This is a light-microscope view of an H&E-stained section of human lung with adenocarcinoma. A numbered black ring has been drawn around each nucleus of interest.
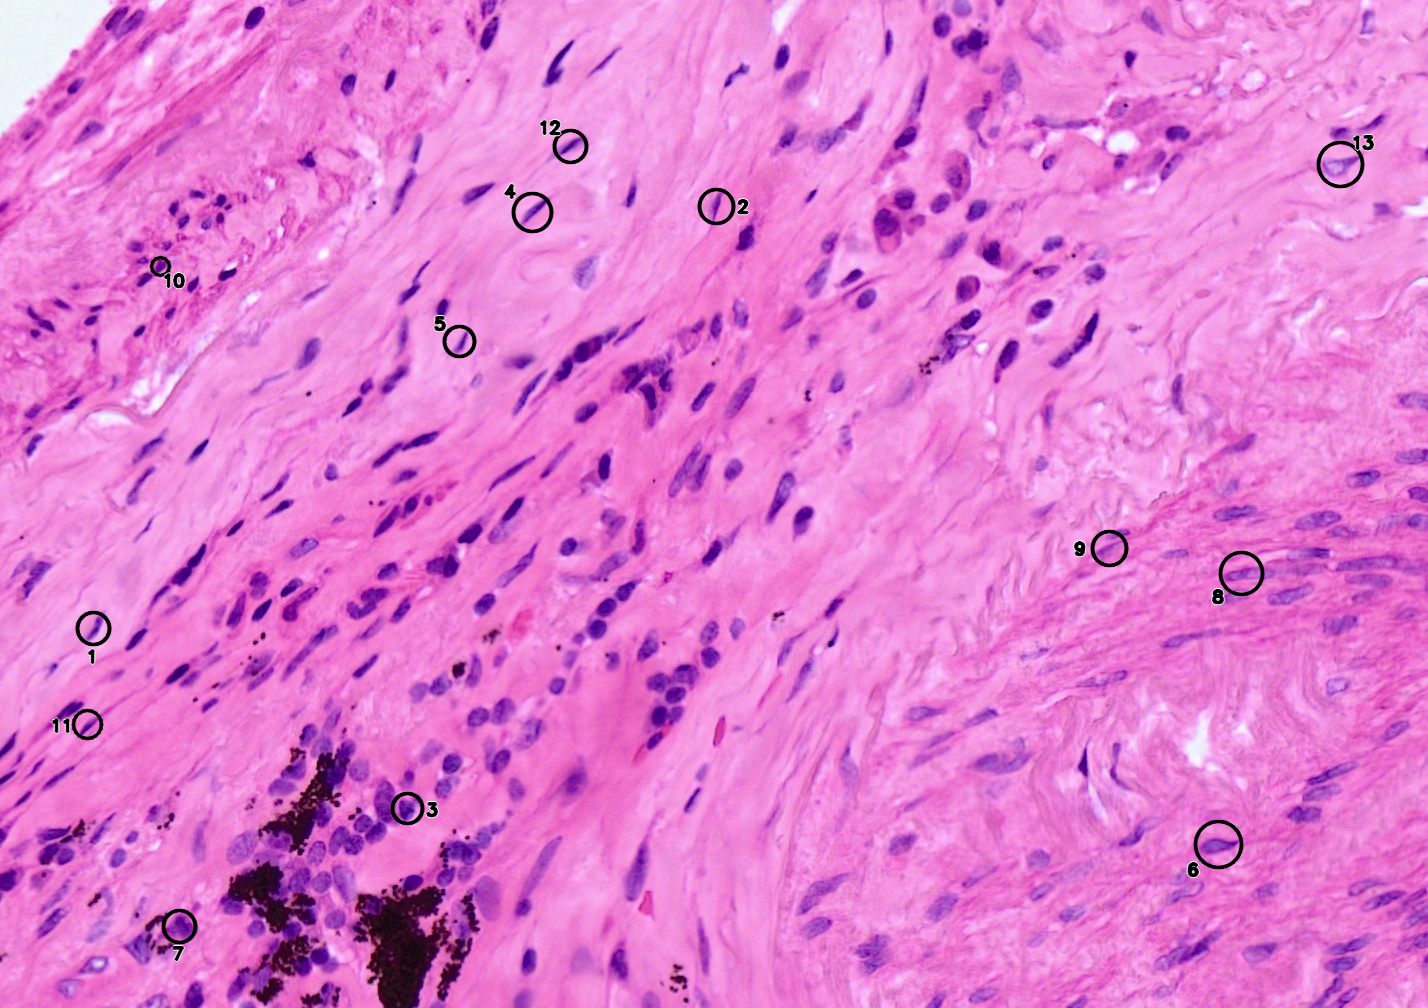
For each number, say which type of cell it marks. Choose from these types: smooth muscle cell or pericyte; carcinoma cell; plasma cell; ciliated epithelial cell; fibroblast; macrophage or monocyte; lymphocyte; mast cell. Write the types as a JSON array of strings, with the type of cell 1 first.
["fibroblast", "fibroblast", "lymphocyte", "fibroblast", "fibroblast", "smooth muscle cell or pericyte", "plasma cell", "smooth muscle cell or pericyte", "smooth muscle cell or pericyte", "smooth muscle cell or pericyte", "fibroblast", "fibroblast", "fibroblast"]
